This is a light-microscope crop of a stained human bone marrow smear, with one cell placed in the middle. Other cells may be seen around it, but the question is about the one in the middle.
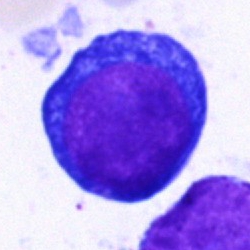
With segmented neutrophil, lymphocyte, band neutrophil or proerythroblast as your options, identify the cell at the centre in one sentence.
To answer, the cell in the center of the crop is a proerythroblast.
